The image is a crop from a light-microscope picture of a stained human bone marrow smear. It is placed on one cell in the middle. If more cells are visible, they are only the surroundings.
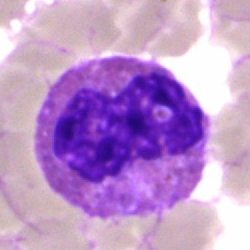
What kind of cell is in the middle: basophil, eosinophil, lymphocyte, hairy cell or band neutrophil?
eosinophil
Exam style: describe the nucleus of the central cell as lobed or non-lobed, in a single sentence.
We find a nucleus divided into at least two lobes.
